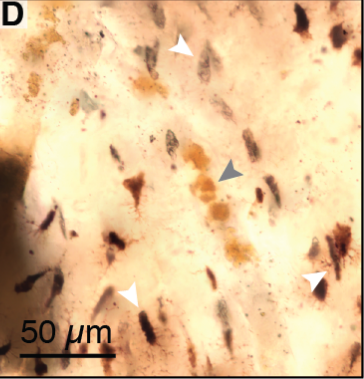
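This thin section of fossil bone, seen in transmitted light, is dominated by osteocyte lacunae: many small, dark brown to black, spindle-shaped spaces scattered through the pale yellowish bone matrix and lying roughly parallel to one another. Some are darker and sharper, others paler and greyer, as if lying at different depths in the section. Among them runs a small vessel whose fill is grainy and orange-yellow, made of irregular clumps rather than neat round bodies. At the left edge a darker, blurred band of matrix is seen.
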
